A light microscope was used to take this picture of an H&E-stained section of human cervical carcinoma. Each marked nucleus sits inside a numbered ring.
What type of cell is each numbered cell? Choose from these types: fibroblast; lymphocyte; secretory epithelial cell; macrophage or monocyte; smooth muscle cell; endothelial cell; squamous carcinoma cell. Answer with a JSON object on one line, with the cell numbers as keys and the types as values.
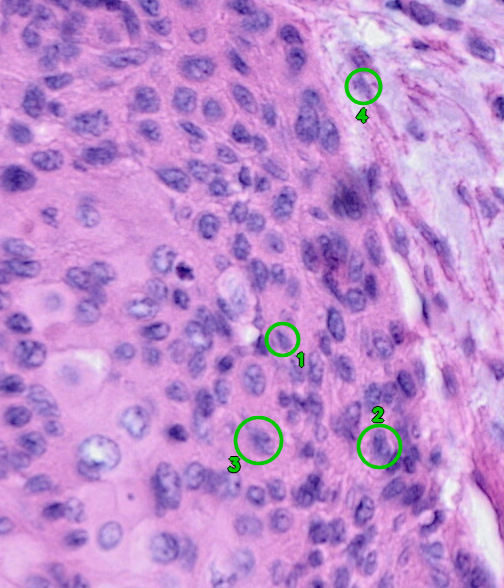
{"1": "squamous carcinoma cell", "2": "squamous carcinoma cell", "3": "squamous carcinoma cell", "4": "fibroblast"}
